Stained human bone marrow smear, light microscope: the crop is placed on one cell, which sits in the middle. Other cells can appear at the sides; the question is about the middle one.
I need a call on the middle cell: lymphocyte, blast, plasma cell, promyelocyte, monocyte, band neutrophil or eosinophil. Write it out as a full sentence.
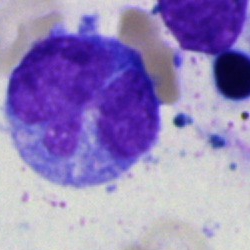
By classification, the middle cell of this crop is a monocyte.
